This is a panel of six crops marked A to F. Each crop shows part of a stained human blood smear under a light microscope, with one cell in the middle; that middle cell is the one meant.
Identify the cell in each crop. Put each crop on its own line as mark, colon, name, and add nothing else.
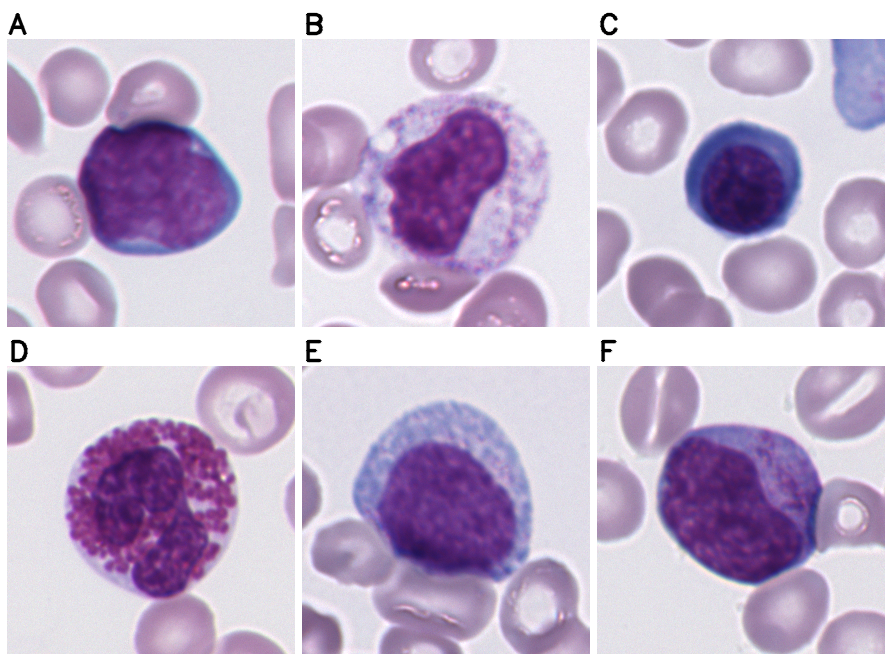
A: myeloblast
B: metamyelocyte
C: normoblast
D: eosinophil
E: promyelocyte
F: promyelocyte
